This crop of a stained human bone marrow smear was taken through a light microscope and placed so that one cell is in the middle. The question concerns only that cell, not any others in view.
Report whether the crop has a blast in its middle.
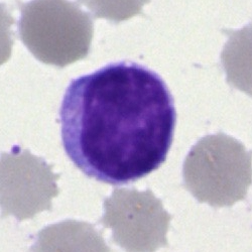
no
